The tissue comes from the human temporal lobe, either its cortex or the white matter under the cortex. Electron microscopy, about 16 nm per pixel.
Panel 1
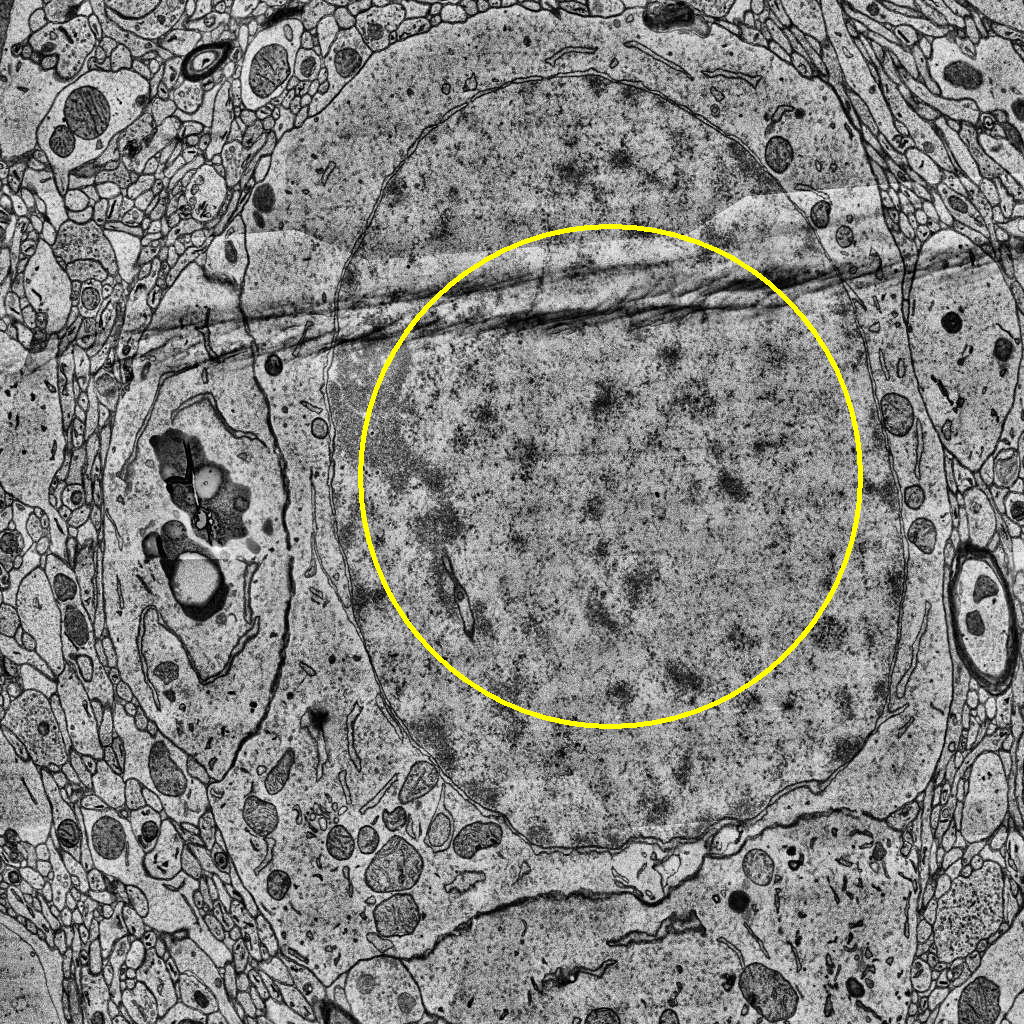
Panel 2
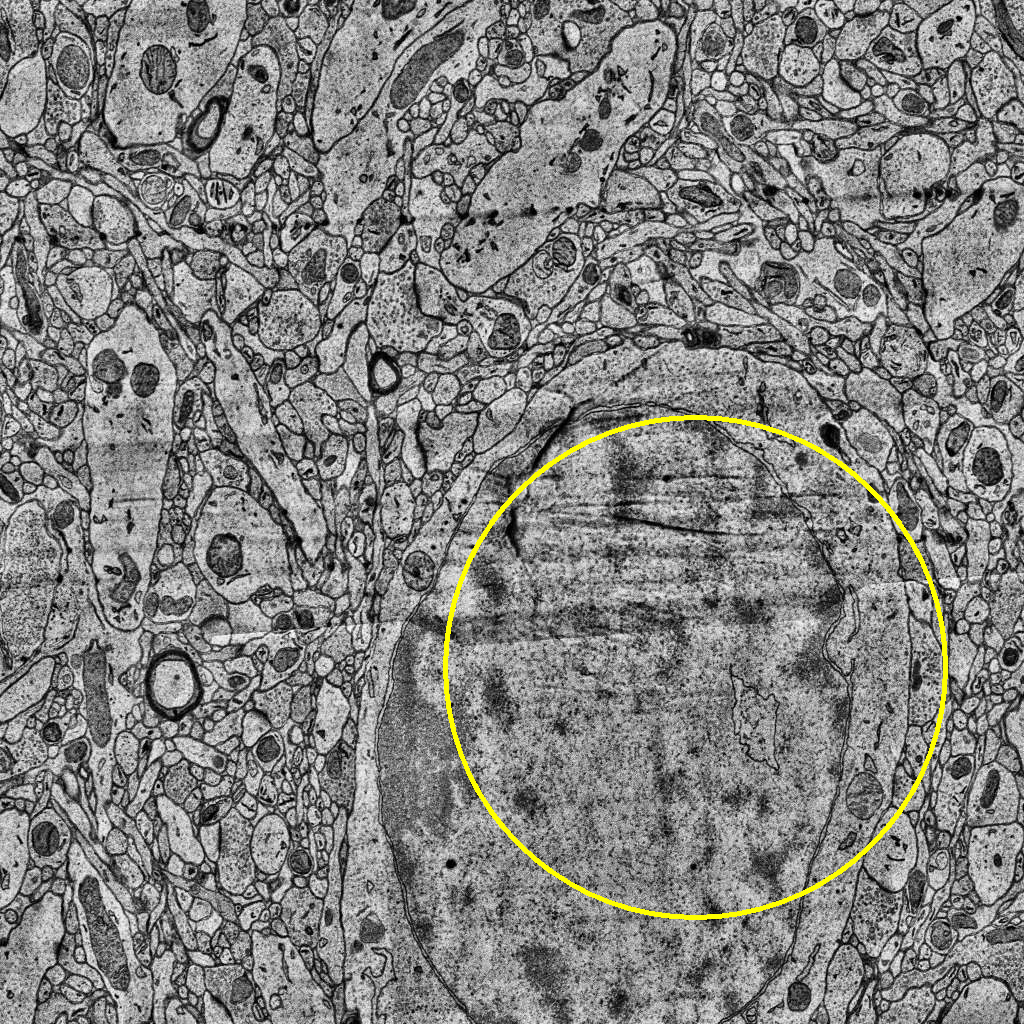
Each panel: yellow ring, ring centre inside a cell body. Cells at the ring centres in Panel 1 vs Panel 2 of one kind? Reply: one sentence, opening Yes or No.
Yes, Panel 1 and Panel 2 have cells of one kind at the ring centres.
